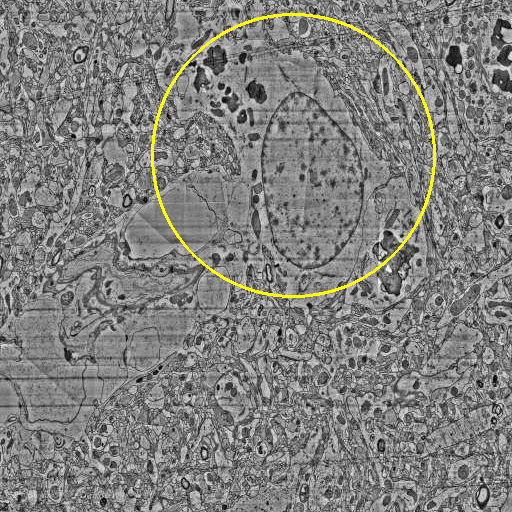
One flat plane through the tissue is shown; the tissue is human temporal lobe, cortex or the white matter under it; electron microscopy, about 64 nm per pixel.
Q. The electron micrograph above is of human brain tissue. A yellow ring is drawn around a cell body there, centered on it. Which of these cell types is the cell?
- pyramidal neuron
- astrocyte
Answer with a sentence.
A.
The cell under the ring's center is an astrocyte.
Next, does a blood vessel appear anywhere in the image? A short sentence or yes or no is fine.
Yes, a blood vessel is present in this picture.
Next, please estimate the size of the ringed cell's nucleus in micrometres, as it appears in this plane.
Clearly longer than it is wide in this plane, the nucleus measures roughly 11 by 7 micrometres.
